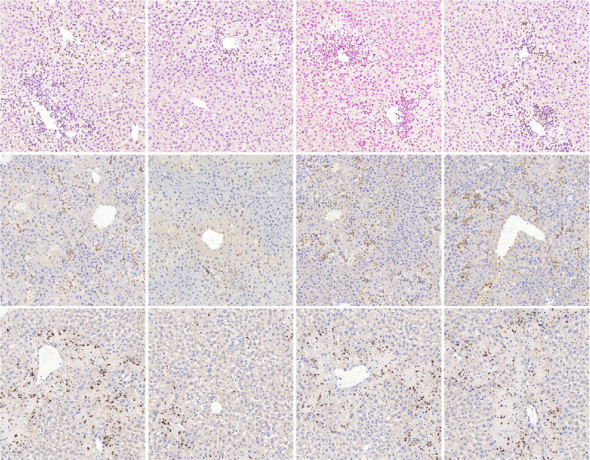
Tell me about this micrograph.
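A grid of twelve small micrographs of liver tissue, in three rows of four, shows sheets of hepatocytes with small scattered brown-stained inflammatory cells. The hepatocytes form a fairly uniform parenchyma with round nuclei, broken by pale open spaces that are vessel lumens. In the top row the background has a pink to purple tone, and darker stained cells gather in patches, some near the vessels. The density of brown cells varies between the images in each row; some images show dense clusters and others only sparse cells.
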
